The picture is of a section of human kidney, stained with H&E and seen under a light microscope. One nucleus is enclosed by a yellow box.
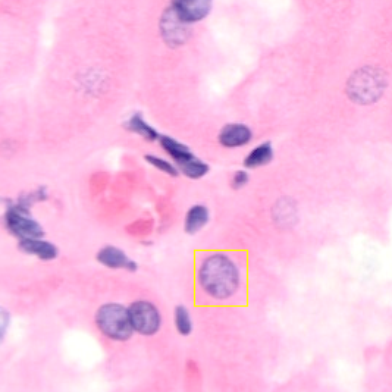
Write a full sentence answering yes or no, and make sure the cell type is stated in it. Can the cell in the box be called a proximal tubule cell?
Yes, within this tissue section, the cell in the box is a proximal tubule cell.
